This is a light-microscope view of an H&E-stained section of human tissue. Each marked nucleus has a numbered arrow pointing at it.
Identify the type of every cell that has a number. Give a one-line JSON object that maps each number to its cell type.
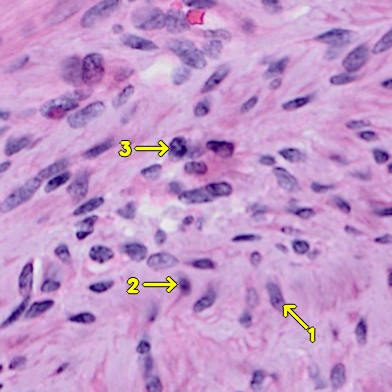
{"1": "smooth muscle cell", "2": "smooth muscle cell", "3": "lymphocyte"}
